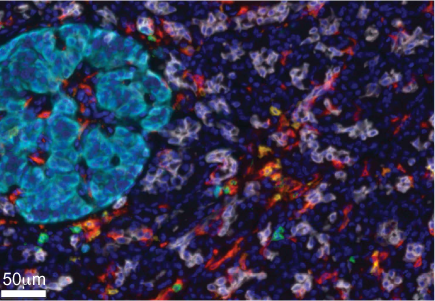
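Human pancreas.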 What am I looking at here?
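A large rounded cluster of cyan cells sits at the left, sharply set off from the surrounding tissue, which is full of blue nuclei and white-outlined glandular cells. Red elongated cells are scattered through the tissue, with a few yellow and green cells among them, more of them toward the right.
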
